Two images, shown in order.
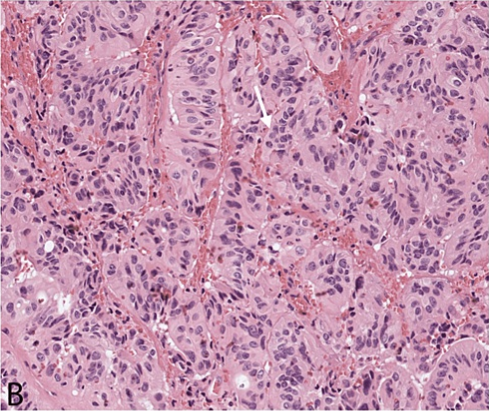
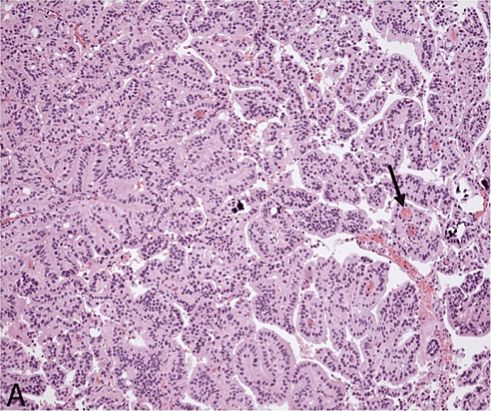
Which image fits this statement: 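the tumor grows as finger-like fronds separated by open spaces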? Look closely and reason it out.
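The second image. First image: cells are packed in solid nests and gland-like groups with few open spaces. Second image: many slender fronds lined by cells are separated by clear spaces.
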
